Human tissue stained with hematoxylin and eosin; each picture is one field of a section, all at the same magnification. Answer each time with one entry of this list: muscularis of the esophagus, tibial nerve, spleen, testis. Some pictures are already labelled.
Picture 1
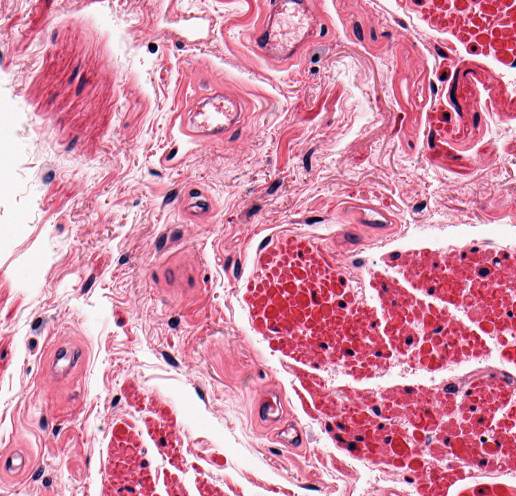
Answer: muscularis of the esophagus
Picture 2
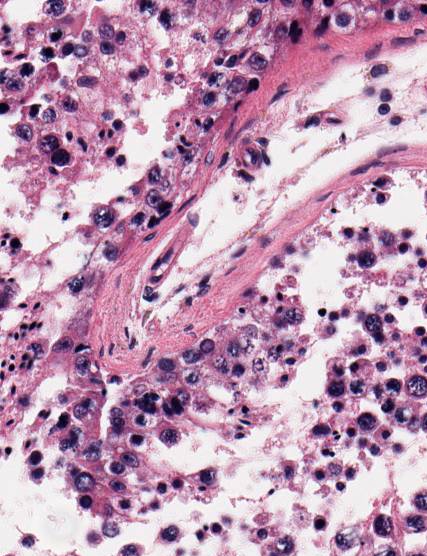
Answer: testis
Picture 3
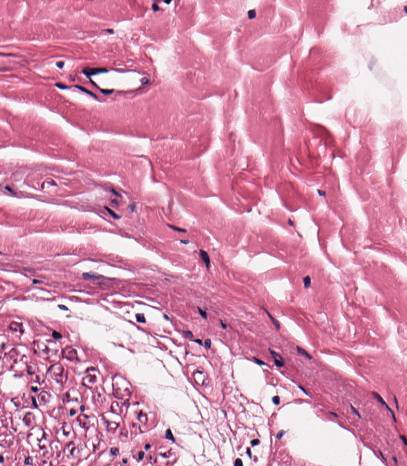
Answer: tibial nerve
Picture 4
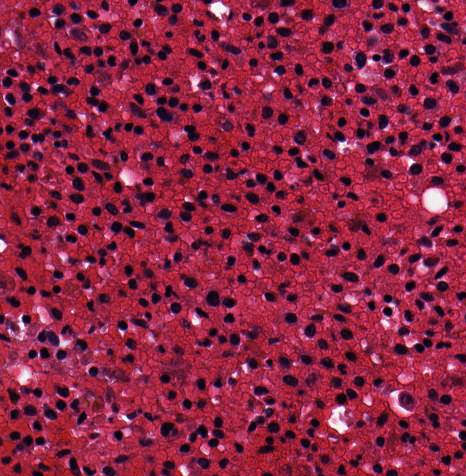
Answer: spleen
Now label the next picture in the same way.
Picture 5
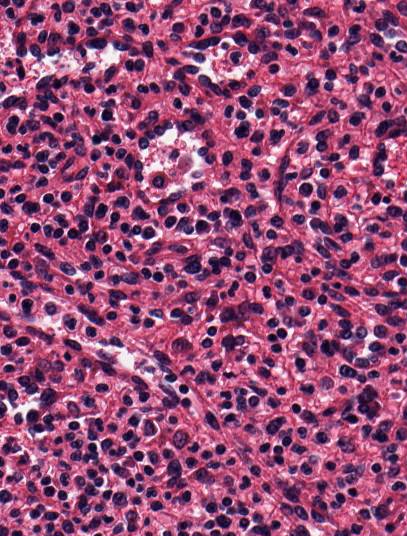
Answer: spleen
